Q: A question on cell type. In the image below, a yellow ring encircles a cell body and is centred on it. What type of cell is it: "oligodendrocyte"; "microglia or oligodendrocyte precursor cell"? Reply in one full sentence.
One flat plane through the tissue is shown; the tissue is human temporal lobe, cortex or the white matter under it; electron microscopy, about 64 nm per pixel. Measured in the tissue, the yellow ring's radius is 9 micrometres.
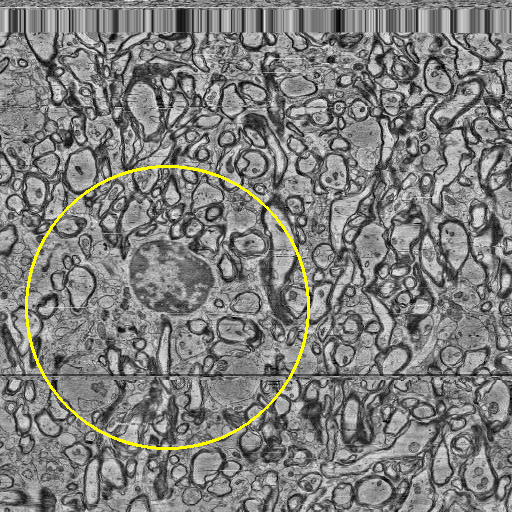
It is a microglial cell or oligodendrocyte precursor cell whose cell body sits at the centre of the yellow ring in the image.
